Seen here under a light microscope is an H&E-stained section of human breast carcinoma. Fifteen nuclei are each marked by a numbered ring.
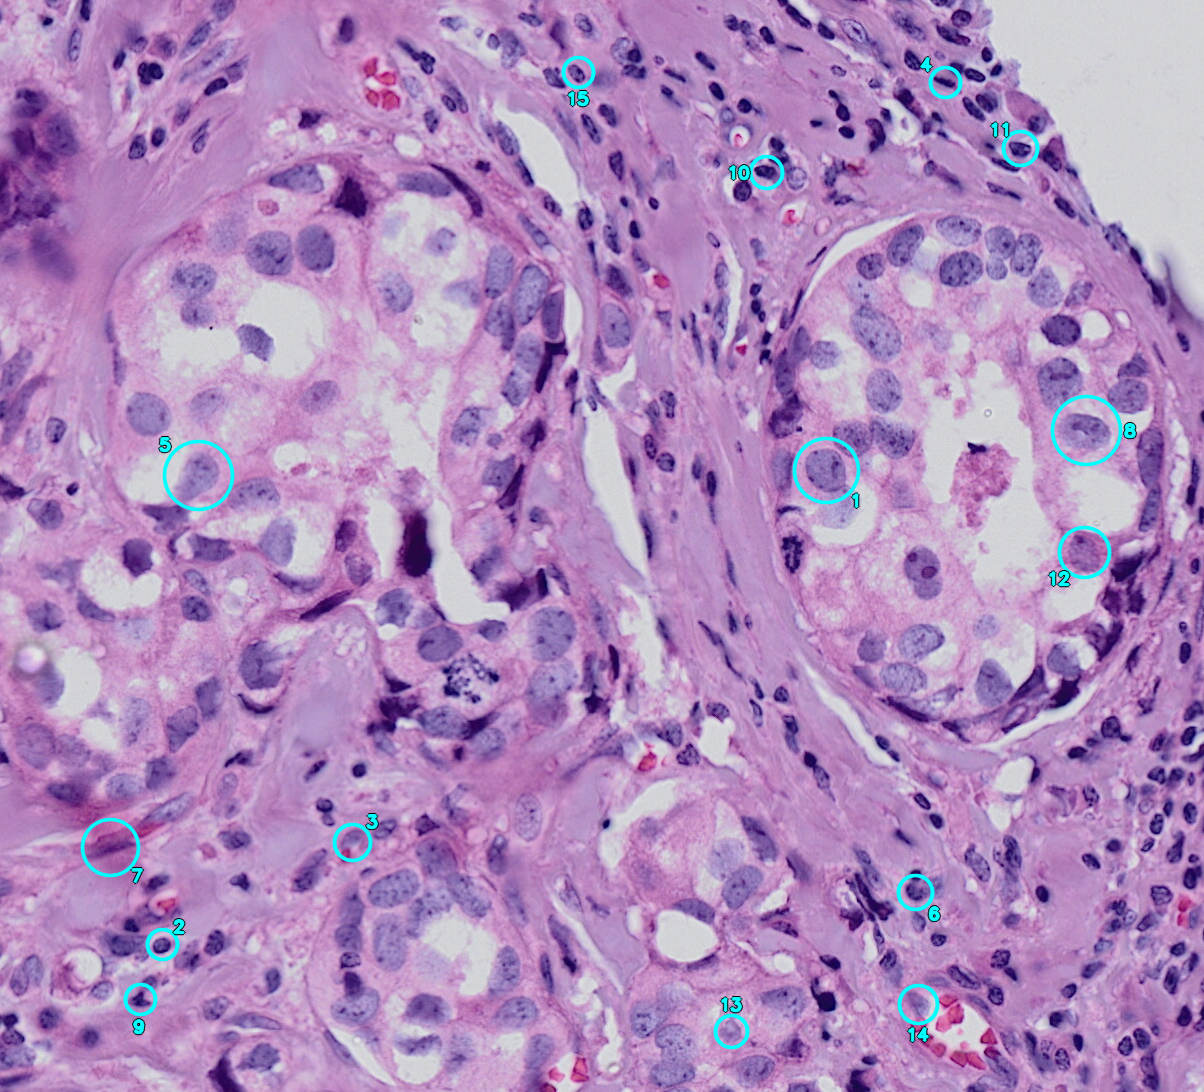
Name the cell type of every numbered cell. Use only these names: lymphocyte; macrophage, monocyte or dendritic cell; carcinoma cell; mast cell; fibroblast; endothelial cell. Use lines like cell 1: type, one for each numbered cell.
cell 1: carcinoma cell
cell 2: lymphocyte
cell 3: endothelial cell
cell 4: lymphocyte
cell 5: carcinoma cell
cell 6: lymphocyte
cell 7: endothelial cell
cell 8: carcinoma cell
cell 9: lymphocyte
cell 10: lymphocyte
cell 11: lymphocyte
cell 12: carcinoma cell
cell 13: carcinoma cell
cell 14: endothelial cell
cell 15: lymphocyte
